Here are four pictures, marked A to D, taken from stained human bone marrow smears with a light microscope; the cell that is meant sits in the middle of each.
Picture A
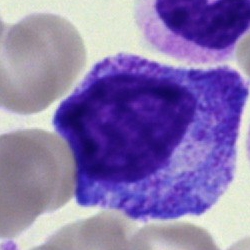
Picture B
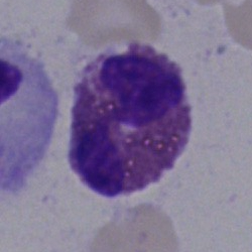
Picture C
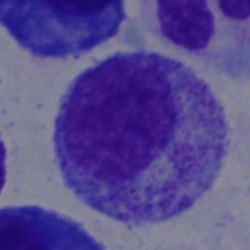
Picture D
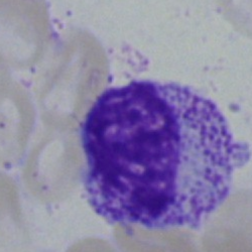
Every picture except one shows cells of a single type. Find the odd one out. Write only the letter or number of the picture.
B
